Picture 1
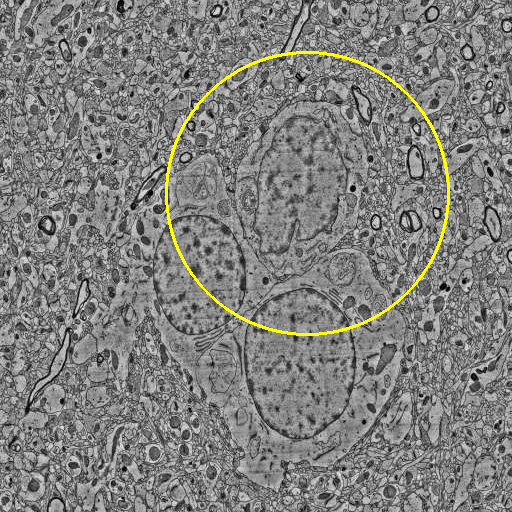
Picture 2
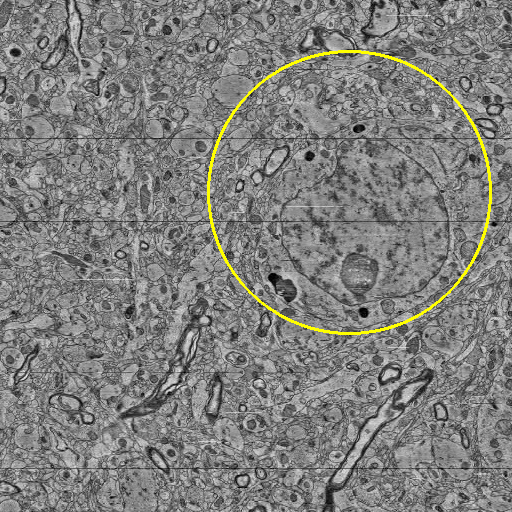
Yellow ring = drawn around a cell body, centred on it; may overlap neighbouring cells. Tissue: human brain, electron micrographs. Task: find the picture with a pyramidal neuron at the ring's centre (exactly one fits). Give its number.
2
